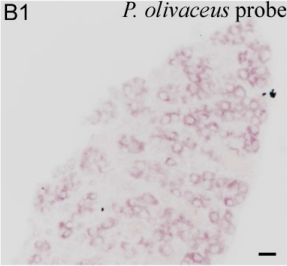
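Gonad section in which many rounded germ cells are outlined by a faint purple-pink signal. The labelled cells sit in small clustered groups spread across the whole section, separated by paler unstained gaps.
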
